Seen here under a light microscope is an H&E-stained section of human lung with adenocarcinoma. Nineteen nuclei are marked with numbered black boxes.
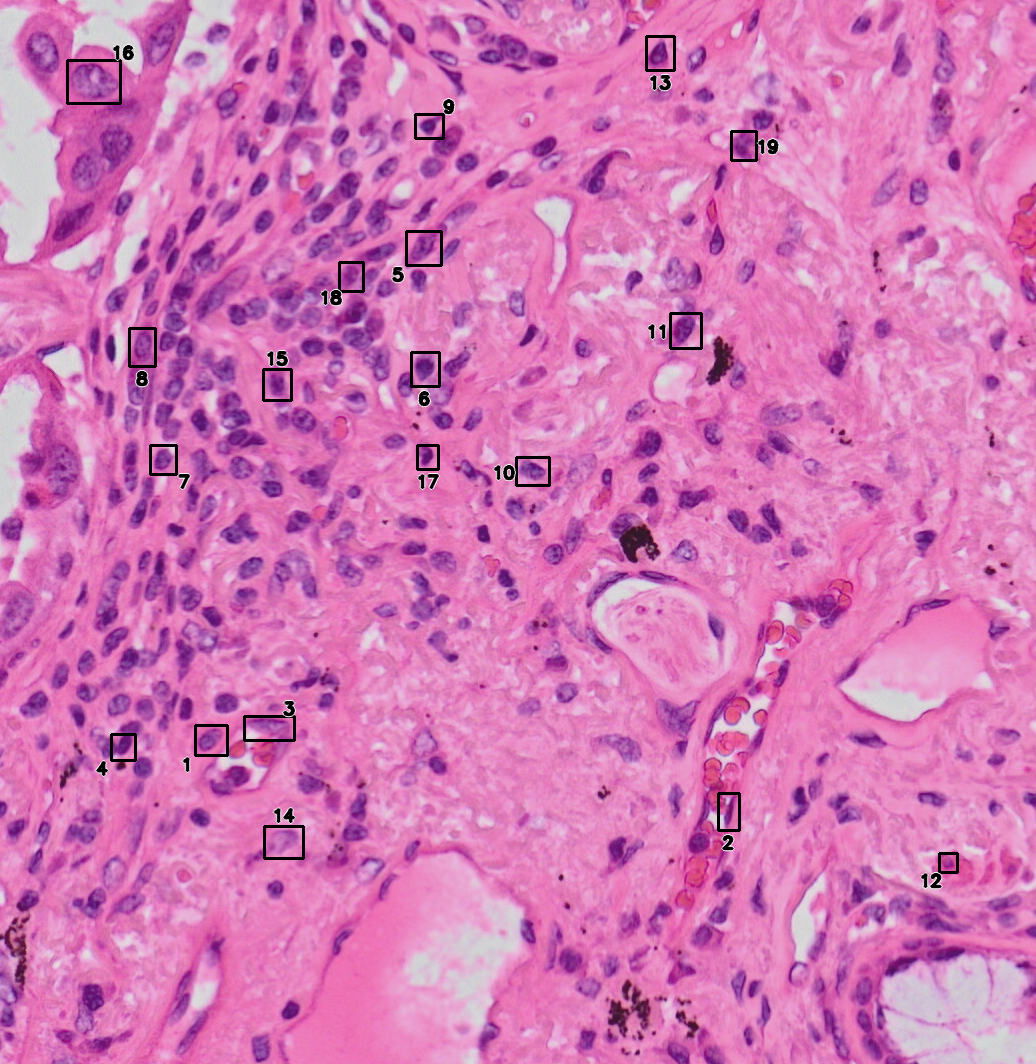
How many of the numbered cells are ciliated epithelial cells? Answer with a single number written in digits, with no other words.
0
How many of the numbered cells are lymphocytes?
6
